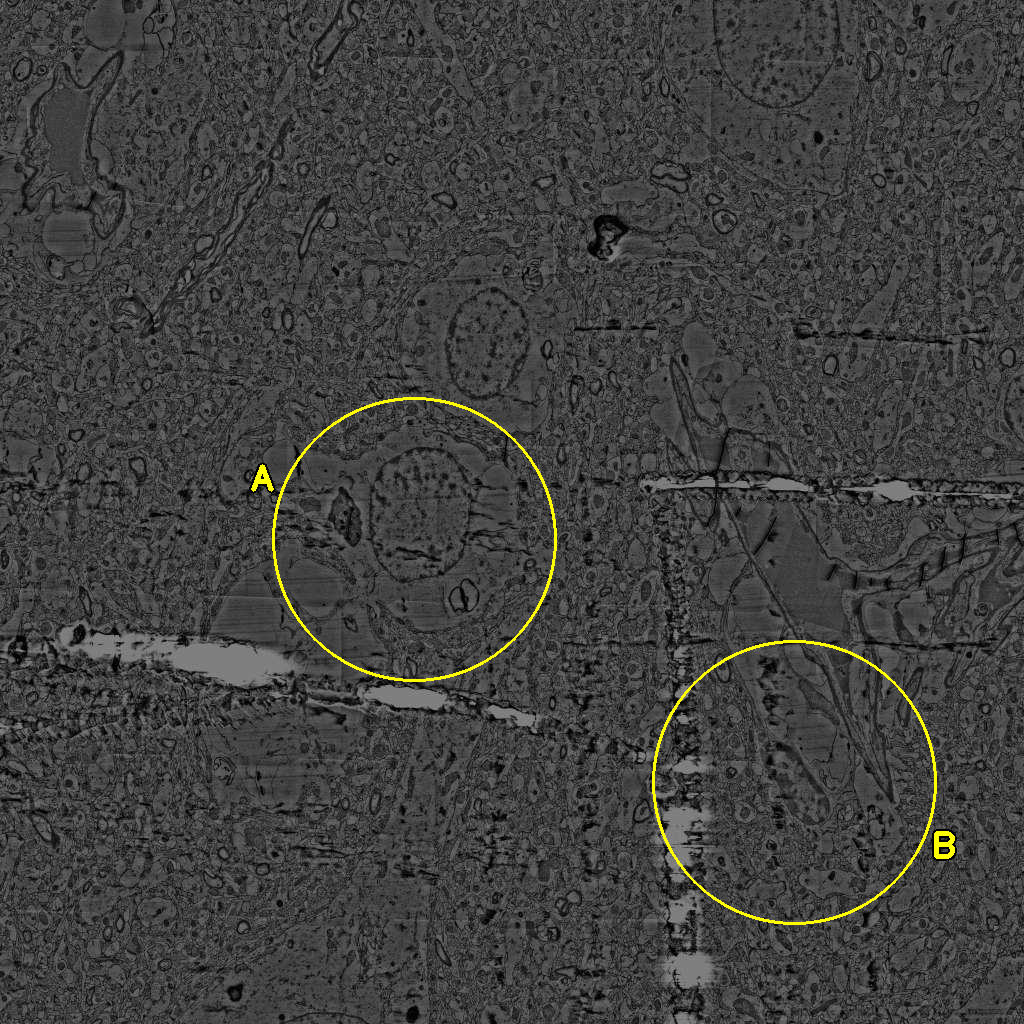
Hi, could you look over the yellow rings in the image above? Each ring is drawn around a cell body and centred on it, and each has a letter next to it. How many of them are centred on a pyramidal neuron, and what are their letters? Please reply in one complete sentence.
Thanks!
No letter in the micrograph marks a ring centred on a pyramidal neuron, so the count is zero.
